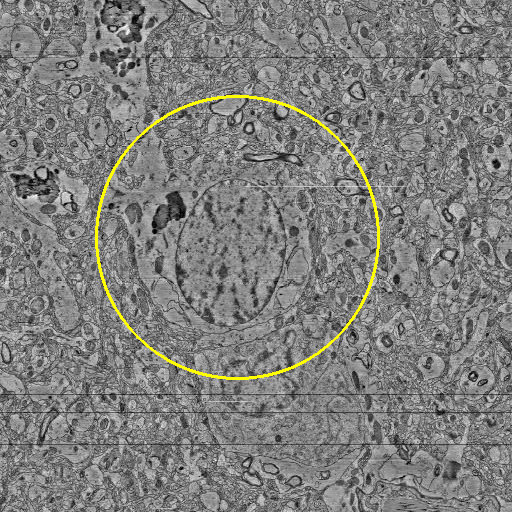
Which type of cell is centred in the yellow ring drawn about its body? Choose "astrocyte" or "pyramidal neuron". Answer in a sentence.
The yellow ring surrounds the cell body of an astrocyte.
